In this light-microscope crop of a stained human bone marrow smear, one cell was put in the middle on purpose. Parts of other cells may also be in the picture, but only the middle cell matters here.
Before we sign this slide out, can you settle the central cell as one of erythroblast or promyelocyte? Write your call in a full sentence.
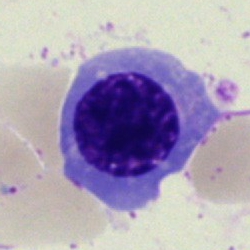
In the centre of this crop there is an erythroblast.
